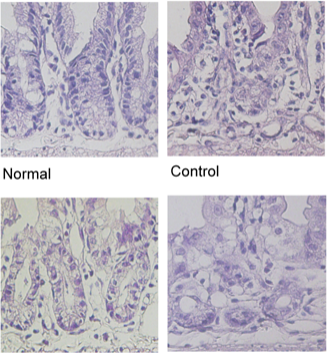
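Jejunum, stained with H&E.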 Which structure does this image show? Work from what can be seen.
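Tubular glands at the base of the mucosa, lined by columnar epithelial cells with dark purple nuclei. The glands are cut in longitudinal and cross section. So: crypts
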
